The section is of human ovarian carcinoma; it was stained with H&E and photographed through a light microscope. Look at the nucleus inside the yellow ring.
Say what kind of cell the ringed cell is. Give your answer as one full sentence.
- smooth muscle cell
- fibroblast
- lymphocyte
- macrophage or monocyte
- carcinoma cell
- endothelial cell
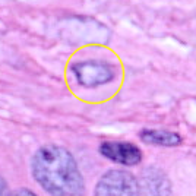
As to its cell type, the ringed cell is a fibroblast.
